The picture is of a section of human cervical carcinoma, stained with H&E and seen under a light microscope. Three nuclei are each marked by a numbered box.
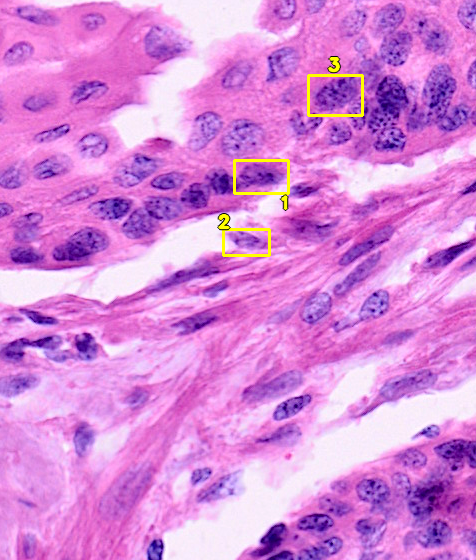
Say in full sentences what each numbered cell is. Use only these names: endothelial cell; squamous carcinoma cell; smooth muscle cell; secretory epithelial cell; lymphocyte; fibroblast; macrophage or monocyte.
Cells 1 and 3 are squamous carcinoma cells. Cell 2 is a fibroblast.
